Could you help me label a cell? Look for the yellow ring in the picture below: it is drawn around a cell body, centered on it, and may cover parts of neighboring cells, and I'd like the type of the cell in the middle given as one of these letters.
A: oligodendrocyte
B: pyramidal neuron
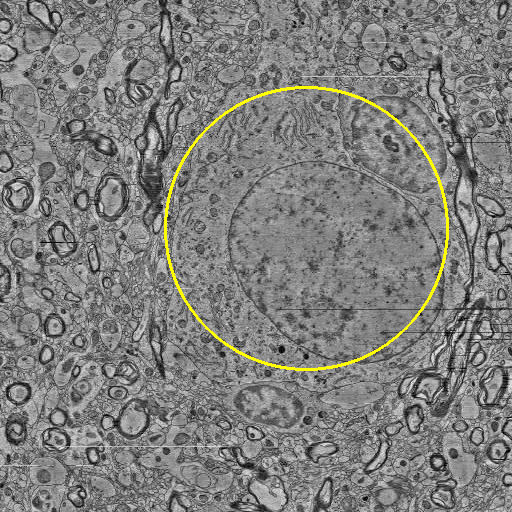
B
